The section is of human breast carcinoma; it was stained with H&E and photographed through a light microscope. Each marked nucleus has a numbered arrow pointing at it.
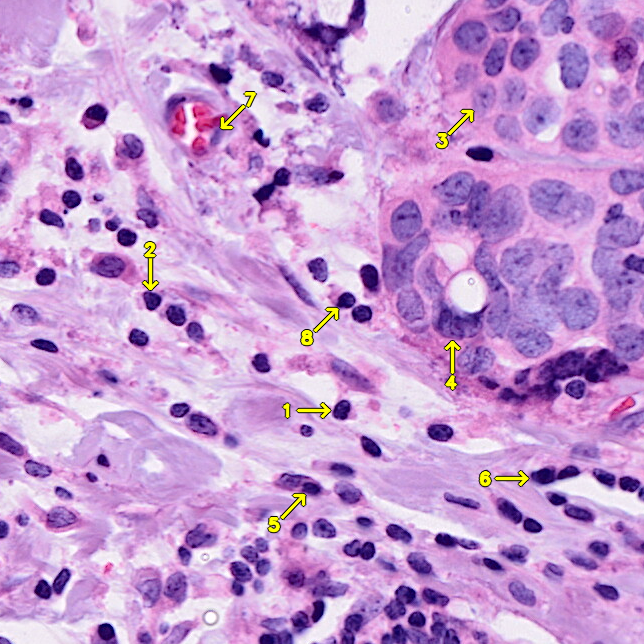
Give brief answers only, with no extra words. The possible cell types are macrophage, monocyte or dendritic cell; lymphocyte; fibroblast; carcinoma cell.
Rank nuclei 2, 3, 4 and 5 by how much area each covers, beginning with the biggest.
4, 3, 2, 5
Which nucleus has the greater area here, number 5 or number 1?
1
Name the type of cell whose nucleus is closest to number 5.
macrophage, monocyte or dendritic cell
